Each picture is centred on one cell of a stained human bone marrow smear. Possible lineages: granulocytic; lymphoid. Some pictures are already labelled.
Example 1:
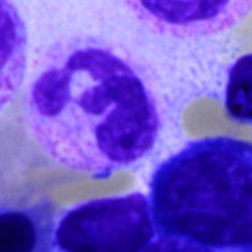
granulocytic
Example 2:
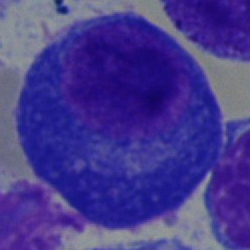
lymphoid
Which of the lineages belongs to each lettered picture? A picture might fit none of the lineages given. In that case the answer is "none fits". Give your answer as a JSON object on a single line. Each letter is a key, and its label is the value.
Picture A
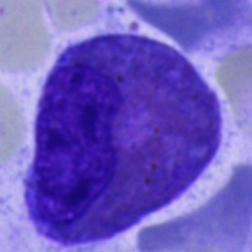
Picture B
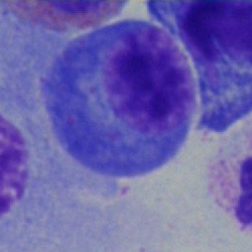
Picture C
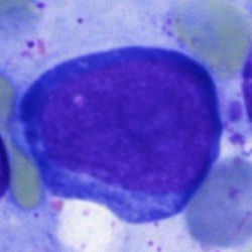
{"A": "granulocytic", "B": "lymphoid", "C": "none fits"}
